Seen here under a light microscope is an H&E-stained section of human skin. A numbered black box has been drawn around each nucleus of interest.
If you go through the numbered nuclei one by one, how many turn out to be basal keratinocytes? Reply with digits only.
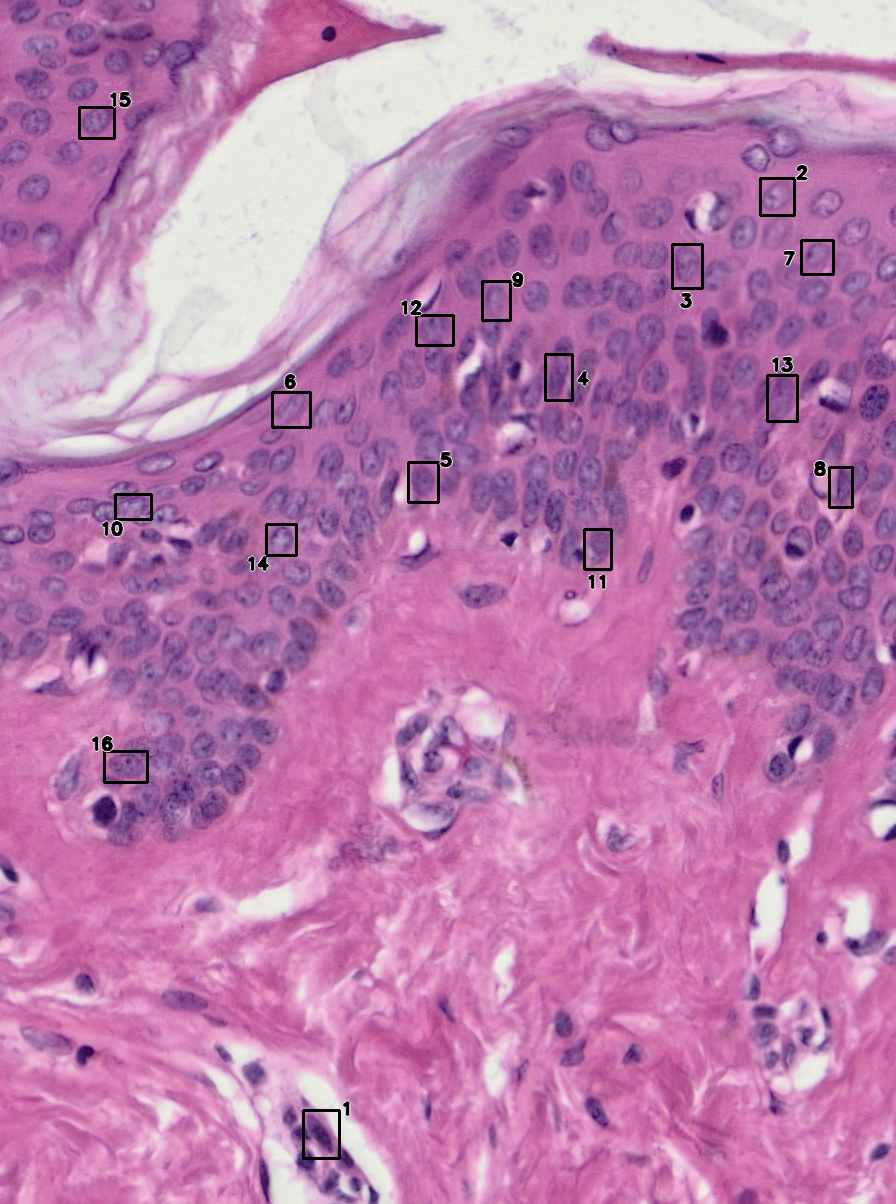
6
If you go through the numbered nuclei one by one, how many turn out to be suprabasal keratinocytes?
9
